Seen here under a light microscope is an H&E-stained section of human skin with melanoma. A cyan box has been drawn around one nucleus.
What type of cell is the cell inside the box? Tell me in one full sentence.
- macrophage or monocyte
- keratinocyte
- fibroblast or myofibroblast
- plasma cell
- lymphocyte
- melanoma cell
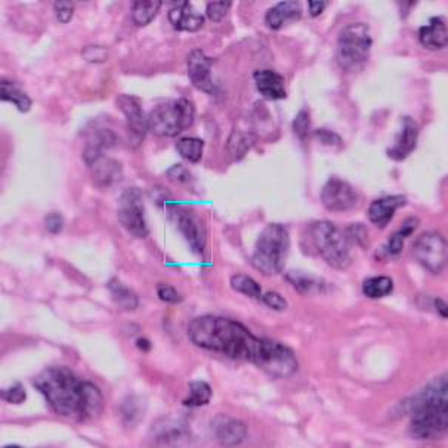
In cell-type terms, the cell inside the box is a melanoma cell.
